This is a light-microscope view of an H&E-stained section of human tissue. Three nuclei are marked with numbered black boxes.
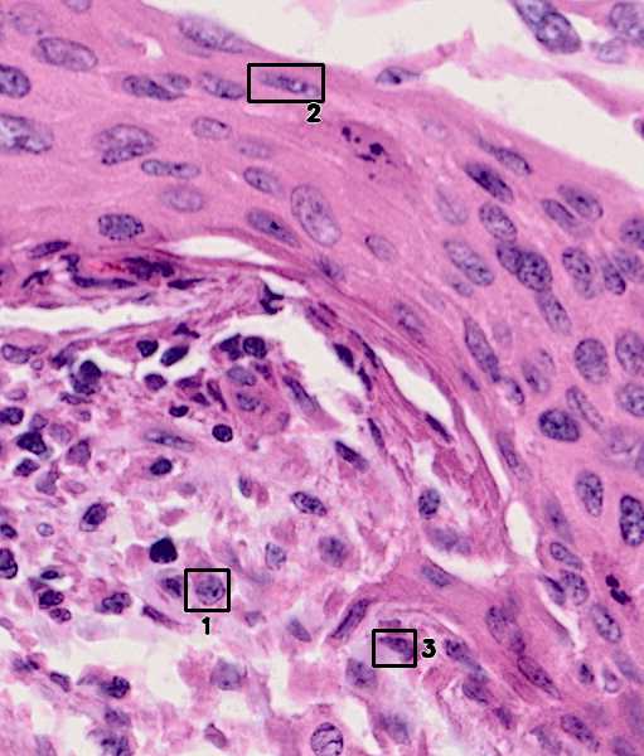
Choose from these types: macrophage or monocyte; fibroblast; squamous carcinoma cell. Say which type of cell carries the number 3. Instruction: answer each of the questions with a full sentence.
The one numbered 3 among the marked cells is a fibroblast.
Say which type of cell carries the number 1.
The cell whose nucleus carries the number 1 is a macrophage or monocyte.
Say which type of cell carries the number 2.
The correct answer for cell 2 is a squamous carcinoma cell.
